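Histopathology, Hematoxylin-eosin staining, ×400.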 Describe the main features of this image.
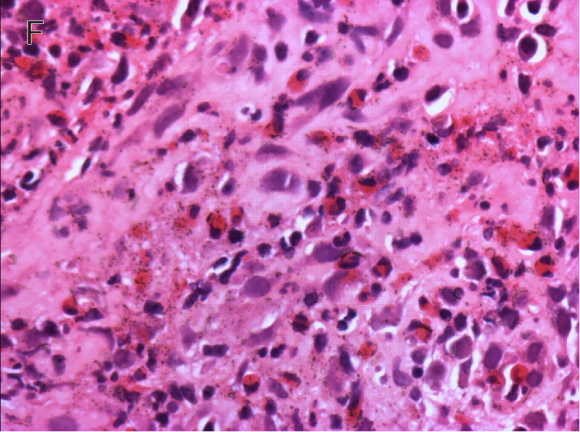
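At high power, densely packed inflammatory cells lie in a pale pink, loose stroma. The cells vary in size, with round to irregular dark purple nuclei, some with clear halos around them, and variable amounts of pink cytoplasm. Bright red, granular bodies and fine dark granules are scattered between and within the cells throughout the field.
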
